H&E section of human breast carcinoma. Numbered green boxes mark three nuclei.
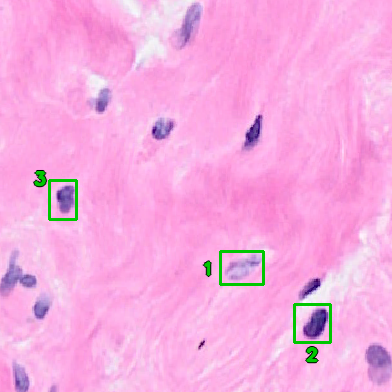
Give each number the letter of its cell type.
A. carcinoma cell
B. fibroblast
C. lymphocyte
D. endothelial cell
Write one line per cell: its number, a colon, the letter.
1: B
2: C
3: C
